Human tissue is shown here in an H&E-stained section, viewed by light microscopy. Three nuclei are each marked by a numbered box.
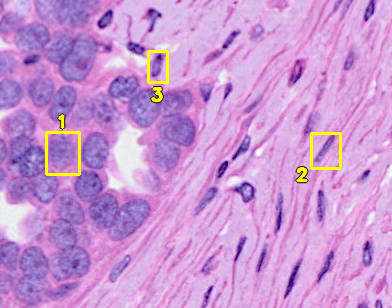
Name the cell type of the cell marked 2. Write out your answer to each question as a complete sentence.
The cell tagged with 2 in this tissue section is a fibroblast.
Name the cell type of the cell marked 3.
The nucleus marked 3 is the nucleus of a fibroblast.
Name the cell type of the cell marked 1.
That cell with number 1 is a carcinoma cell.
